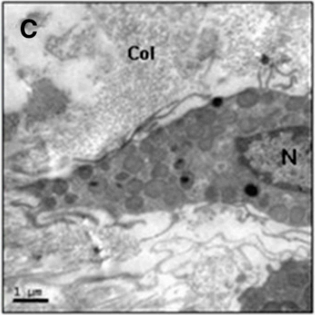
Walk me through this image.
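An elongated cell lies stretched between areas of fine fibrillar extracellular matrix, with its nucleus at the right end. Its cytoplasm is crowded with many round granules of grey density, a few of them very dark, almost black. Above the cell the matrix is made of fine, loosely arranged fibrils, and below it wavy fibre bundles and cell processes run alongside.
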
